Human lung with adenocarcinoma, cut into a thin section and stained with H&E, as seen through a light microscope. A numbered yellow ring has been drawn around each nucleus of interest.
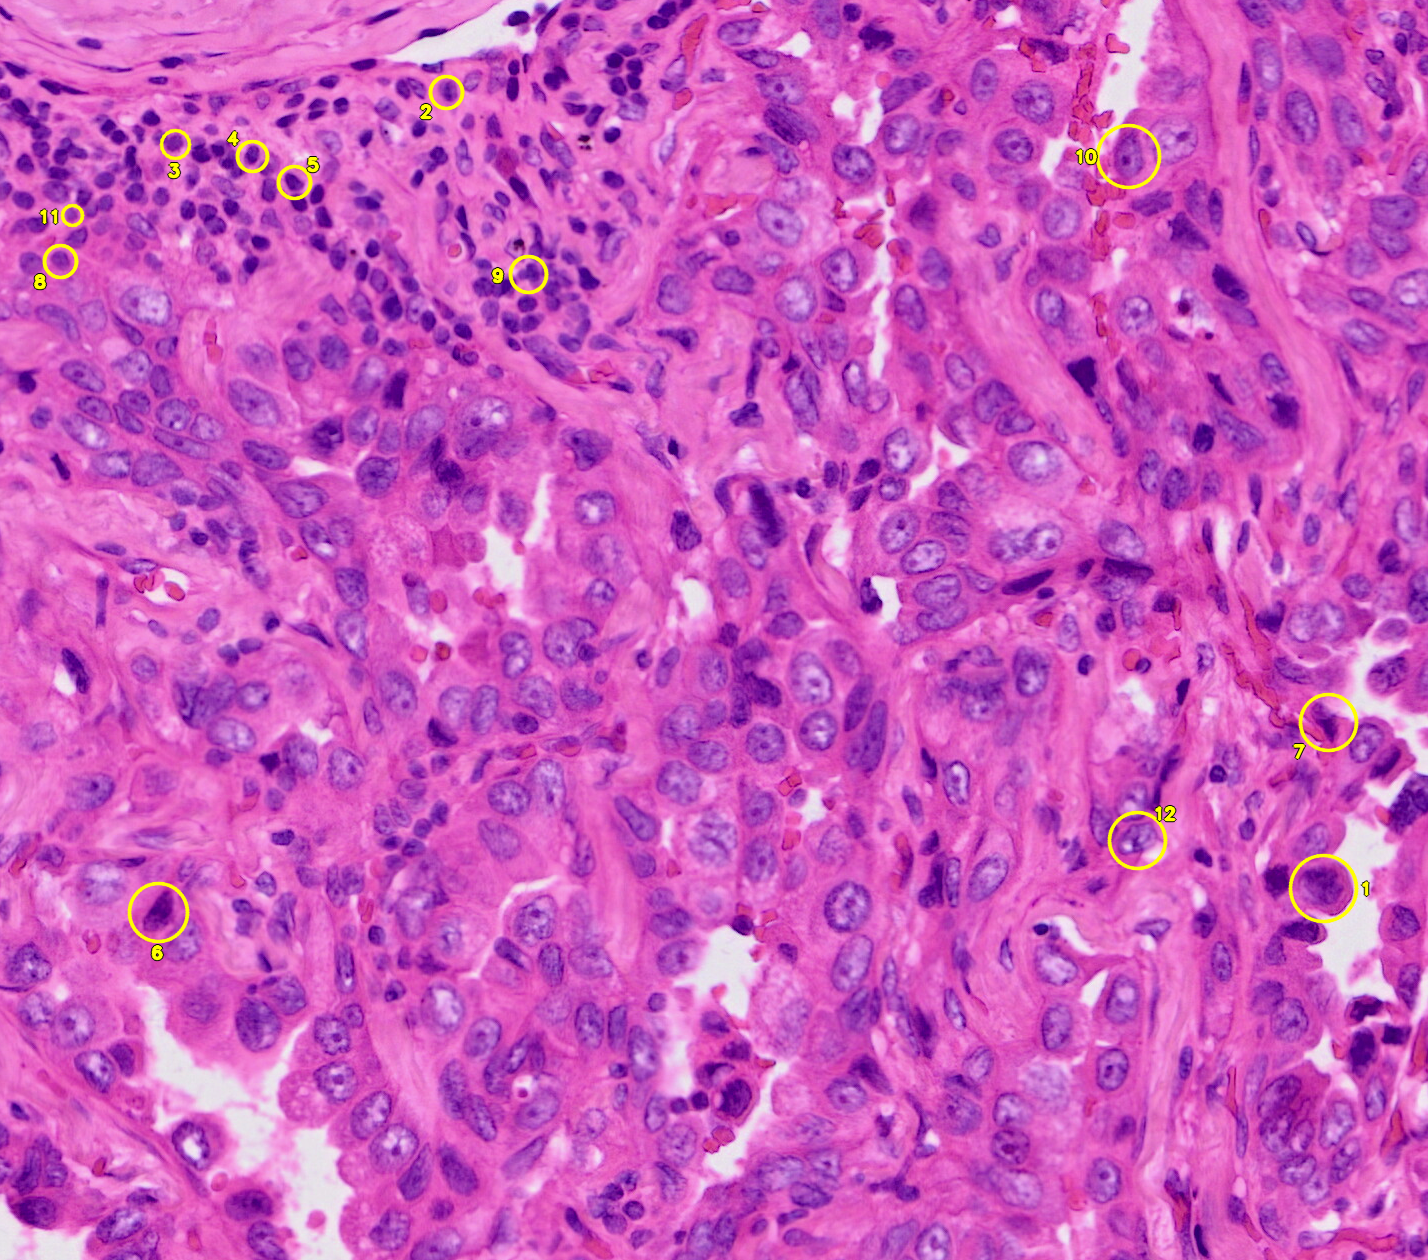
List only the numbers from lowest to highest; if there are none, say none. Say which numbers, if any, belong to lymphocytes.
2, 3, 4, 5, 8, 9, 11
